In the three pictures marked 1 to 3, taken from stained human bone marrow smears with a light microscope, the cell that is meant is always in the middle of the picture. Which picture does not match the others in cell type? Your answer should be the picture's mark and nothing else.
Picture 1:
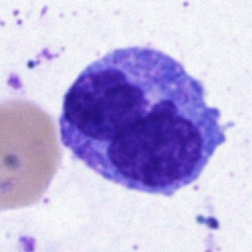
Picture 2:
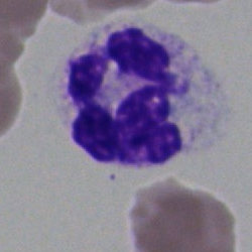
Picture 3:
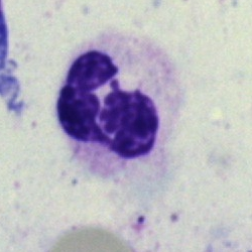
1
